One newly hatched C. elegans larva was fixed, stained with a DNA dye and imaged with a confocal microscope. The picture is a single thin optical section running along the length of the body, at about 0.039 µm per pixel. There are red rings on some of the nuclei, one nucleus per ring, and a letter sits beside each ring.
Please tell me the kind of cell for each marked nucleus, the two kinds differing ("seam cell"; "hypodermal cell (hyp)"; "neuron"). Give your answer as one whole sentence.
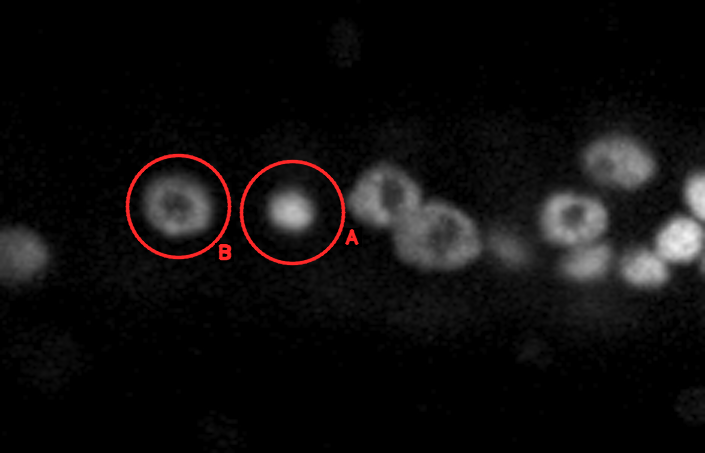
B belongs to a seam cell, and A to a neuron.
